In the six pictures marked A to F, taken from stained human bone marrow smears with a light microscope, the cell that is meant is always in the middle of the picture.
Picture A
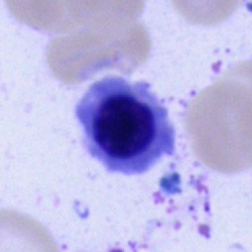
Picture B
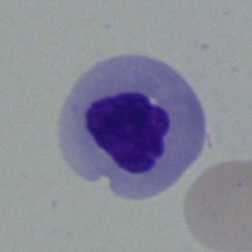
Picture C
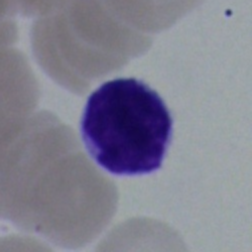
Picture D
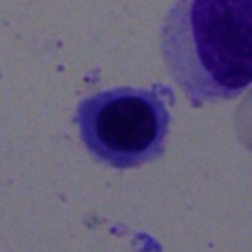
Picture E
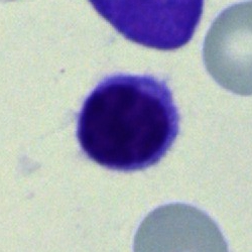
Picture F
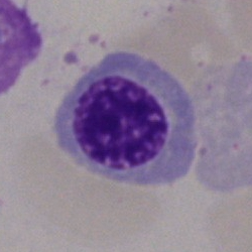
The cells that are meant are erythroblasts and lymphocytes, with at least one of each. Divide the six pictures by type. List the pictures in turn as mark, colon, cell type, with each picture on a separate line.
A: erythroblast
B: erythroblast
C: lymphocyte
D: erythroblast
E: lymphocyte
F: erythroblast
